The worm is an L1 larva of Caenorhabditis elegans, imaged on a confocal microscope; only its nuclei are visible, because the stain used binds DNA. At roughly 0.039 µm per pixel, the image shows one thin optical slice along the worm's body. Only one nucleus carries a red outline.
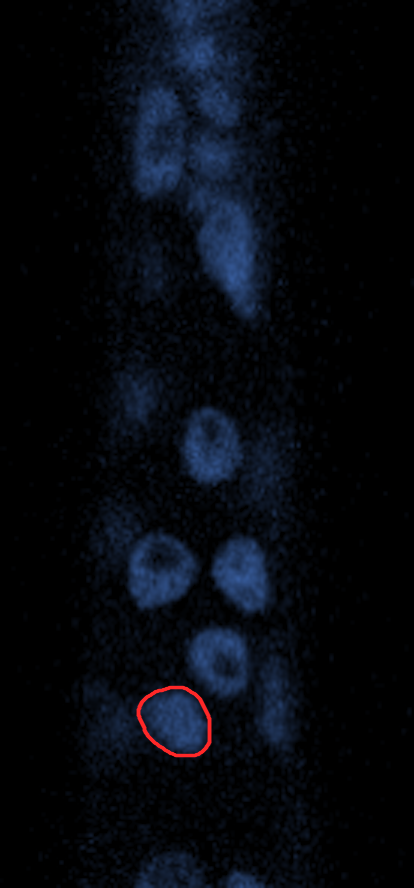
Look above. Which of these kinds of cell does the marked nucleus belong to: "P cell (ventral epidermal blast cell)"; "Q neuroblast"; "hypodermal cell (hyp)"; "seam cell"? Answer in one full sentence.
The marked nucleus belongs to a Q neuroblast.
